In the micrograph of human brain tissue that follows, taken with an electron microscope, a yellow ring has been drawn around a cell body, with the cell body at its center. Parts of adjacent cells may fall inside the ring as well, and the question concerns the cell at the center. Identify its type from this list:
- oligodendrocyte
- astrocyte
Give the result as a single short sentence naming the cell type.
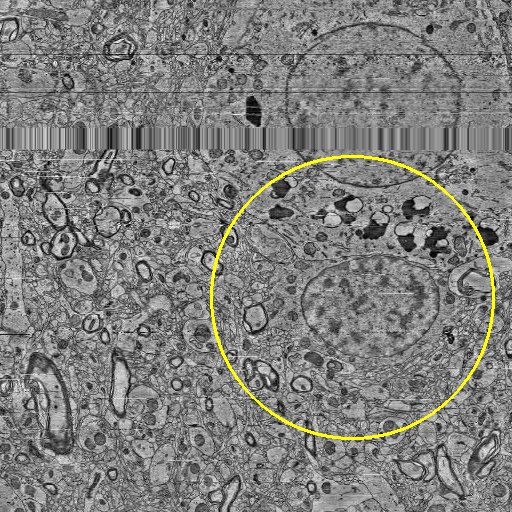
The ring is centered on an oligodendrocyte.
